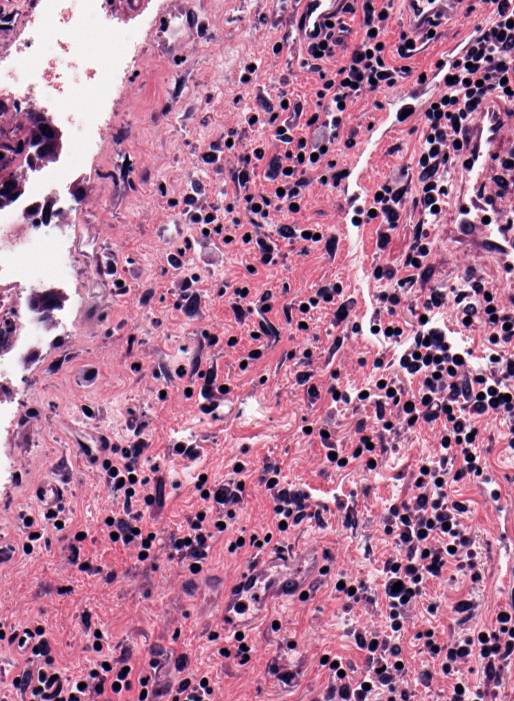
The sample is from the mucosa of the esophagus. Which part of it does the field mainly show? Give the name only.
loose connective tissue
